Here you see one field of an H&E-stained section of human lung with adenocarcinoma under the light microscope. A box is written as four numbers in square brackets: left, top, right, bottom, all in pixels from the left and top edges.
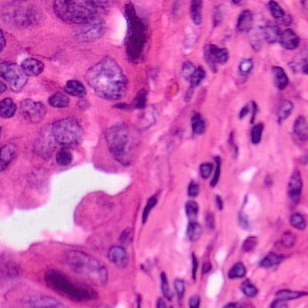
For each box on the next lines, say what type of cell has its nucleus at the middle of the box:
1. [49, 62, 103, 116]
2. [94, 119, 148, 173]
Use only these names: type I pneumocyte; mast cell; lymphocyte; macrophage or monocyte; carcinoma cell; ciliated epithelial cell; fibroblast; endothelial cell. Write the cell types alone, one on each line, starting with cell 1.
lymphocyte
carcinoma cell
